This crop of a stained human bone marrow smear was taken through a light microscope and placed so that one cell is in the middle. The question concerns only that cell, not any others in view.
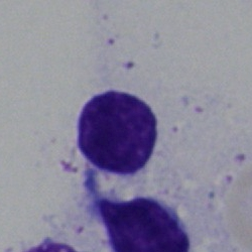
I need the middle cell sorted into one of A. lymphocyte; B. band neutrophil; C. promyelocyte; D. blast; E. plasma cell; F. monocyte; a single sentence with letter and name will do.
The middle cell of the crop is a lymphocyte; accordingly, option A is correct.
